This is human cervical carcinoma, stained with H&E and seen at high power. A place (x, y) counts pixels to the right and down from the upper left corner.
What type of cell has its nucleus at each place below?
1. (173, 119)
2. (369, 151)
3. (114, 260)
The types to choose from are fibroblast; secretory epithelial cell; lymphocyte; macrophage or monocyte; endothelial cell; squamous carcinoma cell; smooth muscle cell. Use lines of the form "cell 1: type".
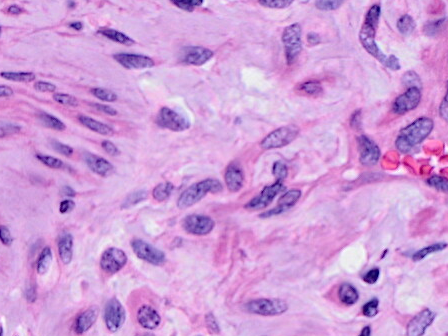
cell 1: macrophage or monocyte
cell 2: endothelial cell
cell 3: macrophage or monocyte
